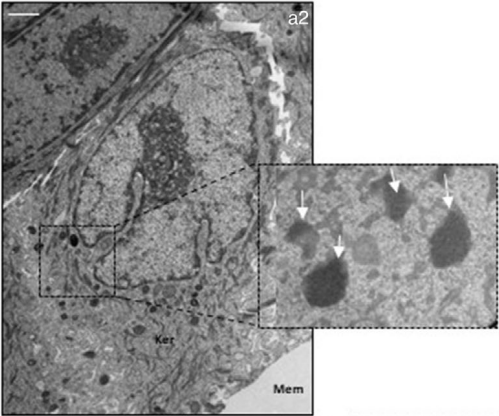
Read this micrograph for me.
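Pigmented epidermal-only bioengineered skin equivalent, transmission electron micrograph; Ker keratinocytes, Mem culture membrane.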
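A central cell has a large nucleus with a dense nucleolus, and its surrounding cytoplasm contains scattered rounded, dark melanosomes. In the enlarged inset the melanosomes appear as irregular rounded granules of varying density lying among greyer cytoplasmic organelles.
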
